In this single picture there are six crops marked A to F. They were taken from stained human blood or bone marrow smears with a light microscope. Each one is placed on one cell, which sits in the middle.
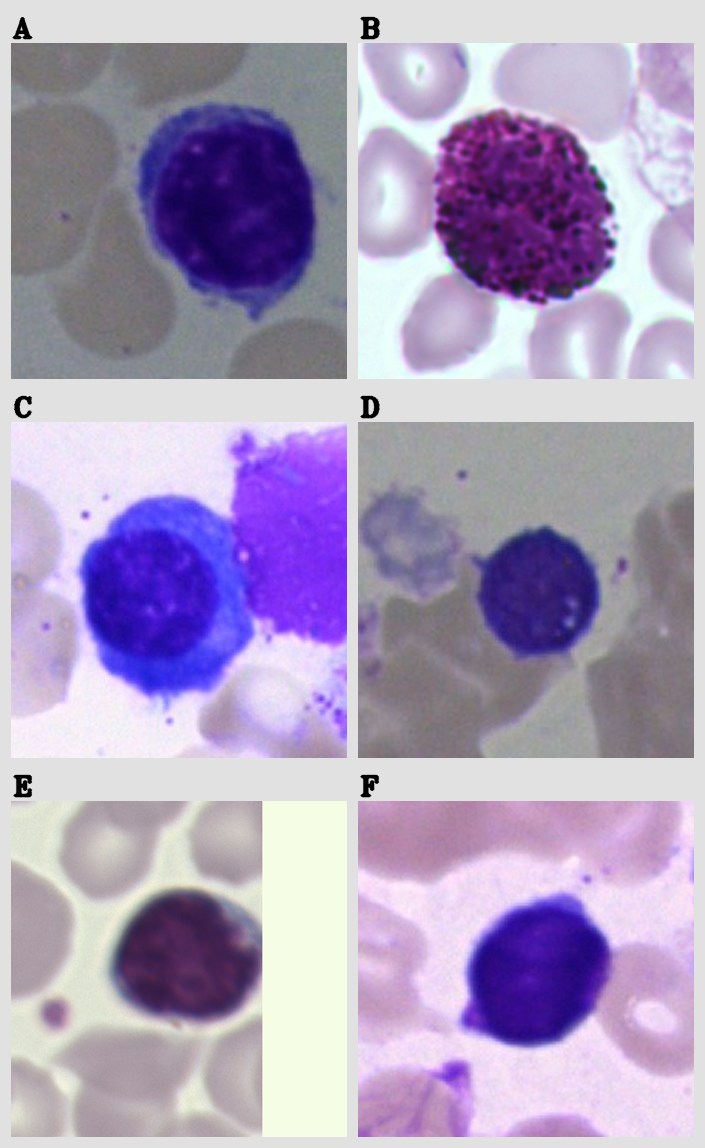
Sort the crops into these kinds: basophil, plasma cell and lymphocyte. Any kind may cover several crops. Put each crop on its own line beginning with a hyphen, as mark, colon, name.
- A: lymphocyte
- B: basophil
- C: plasma cell
- D: lymphocyte
- E: lymphocyte
- F: lymphocyte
